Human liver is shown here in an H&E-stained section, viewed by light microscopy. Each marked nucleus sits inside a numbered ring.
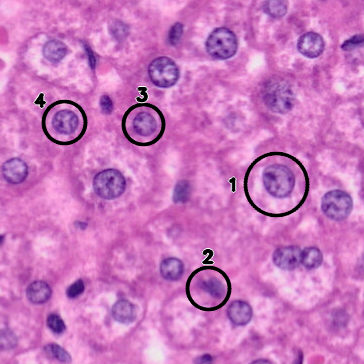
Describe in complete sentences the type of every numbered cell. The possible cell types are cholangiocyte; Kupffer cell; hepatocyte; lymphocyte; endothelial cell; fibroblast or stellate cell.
Cell 1 is a hepatocyte, cell 2 is an endothelial cell, cell 3 is a hepatocyte and cell 4 is a hepatocyte.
